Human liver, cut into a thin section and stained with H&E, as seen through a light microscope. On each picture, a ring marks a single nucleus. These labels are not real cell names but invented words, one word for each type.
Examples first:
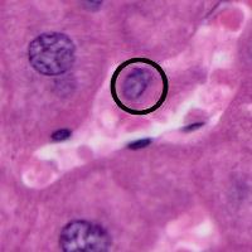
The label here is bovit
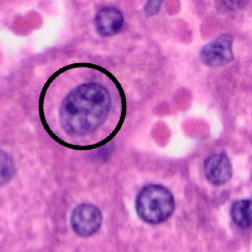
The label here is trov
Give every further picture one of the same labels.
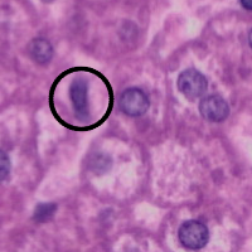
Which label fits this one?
bovit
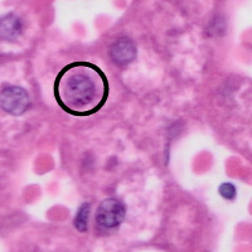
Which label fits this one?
trov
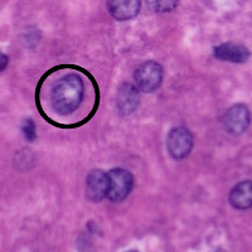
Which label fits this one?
trov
